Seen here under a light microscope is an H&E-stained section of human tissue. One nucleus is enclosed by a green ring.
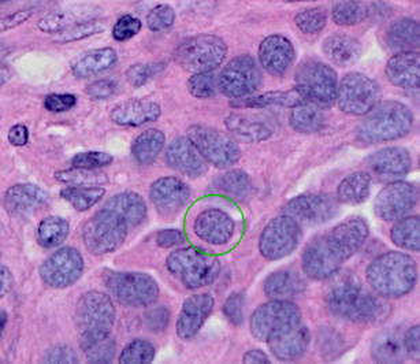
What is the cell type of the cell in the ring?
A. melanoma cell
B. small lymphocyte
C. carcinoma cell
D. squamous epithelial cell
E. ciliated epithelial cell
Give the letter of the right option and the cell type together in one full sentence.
It is as option C has it, the cell in the ring being a carcinoma cell.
